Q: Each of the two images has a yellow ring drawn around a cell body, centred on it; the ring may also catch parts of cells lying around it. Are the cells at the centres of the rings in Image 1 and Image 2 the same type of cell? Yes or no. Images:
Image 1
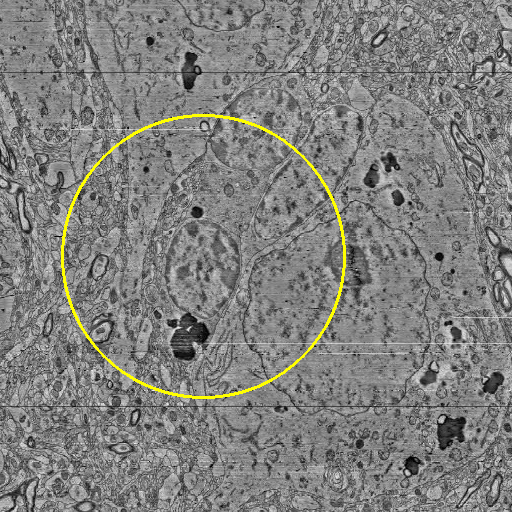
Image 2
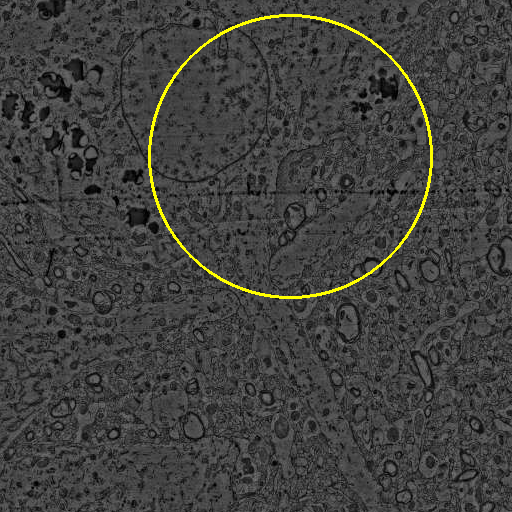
yes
